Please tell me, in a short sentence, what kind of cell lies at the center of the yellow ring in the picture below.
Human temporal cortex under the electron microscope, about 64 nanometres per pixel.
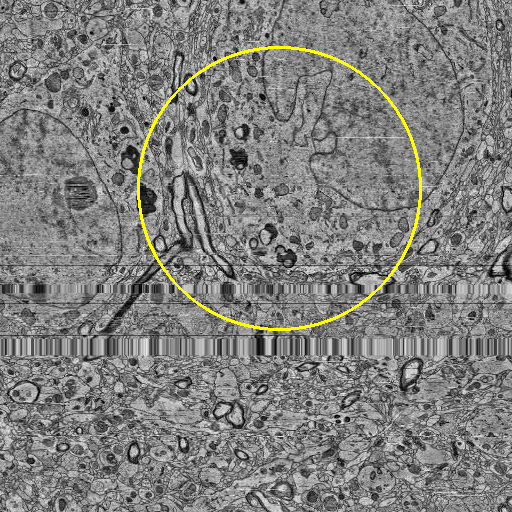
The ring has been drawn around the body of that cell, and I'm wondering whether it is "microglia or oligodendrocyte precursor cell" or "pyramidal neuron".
The cell at the center of the ring is a pyramidal neuron.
